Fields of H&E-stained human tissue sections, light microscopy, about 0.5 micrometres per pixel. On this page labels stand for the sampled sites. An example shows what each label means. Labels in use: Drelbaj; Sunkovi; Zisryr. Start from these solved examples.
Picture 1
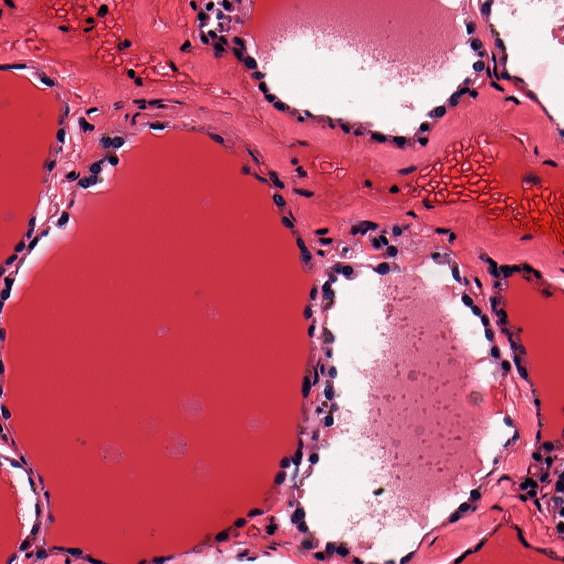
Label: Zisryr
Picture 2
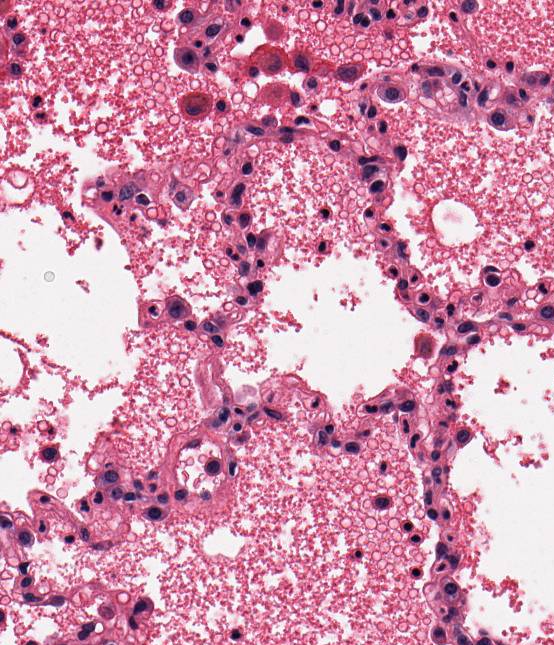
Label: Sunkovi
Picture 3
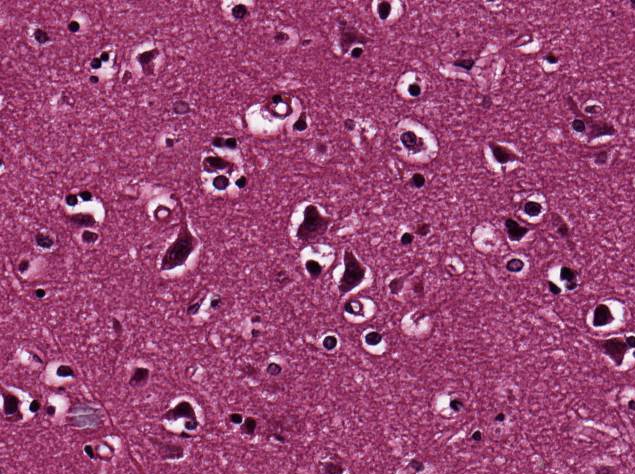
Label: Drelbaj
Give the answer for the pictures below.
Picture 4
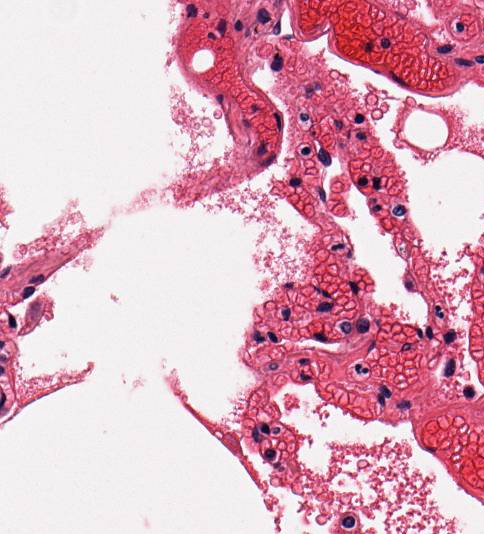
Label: Sunkovi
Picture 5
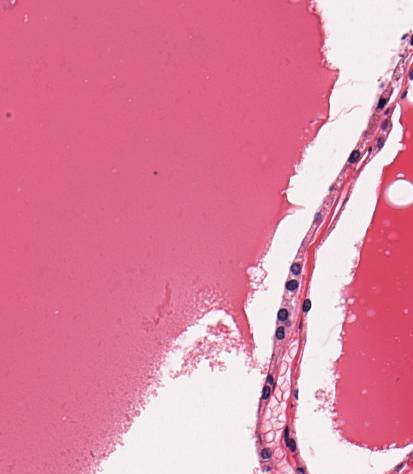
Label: Zisryr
